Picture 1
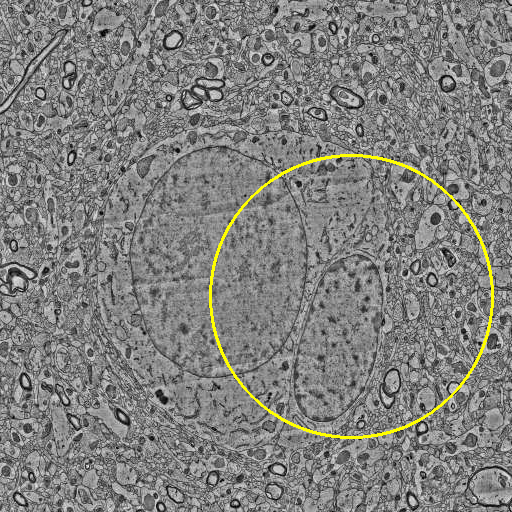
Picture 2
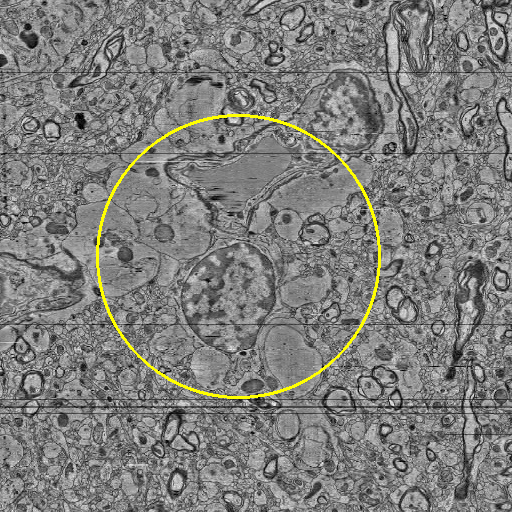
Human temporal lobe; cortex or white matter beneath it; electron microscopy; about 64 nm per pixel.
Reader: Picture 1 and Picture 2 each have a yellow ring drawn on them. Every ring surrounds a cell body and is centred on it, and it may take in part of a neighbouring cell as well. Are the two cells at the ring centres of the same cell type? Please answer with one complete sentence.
Yes, both cells are of the same cell type.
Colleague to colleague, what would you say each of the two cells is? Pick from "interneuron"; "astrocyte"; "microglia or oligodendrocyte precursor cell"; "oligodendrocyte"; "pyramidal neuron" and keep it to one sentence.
The ring centre holds a microglial cell or oligodendrocyte precursor cell in each of the two pictures.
